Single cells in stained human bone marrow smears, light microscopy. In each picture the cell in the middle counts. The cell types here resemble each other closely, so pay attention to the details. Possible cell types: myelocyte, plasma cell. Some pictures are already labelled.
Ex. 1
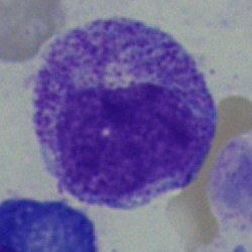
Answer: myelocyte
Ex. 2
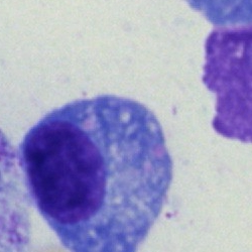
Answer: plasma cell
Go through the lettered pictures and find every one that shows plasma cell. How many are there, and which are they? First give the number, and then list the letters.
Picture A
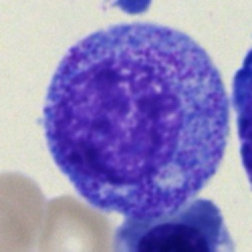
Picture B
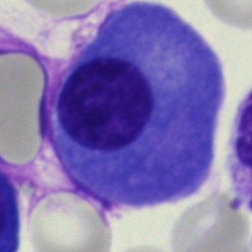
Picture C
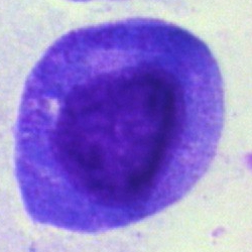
Count: 1 (B)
